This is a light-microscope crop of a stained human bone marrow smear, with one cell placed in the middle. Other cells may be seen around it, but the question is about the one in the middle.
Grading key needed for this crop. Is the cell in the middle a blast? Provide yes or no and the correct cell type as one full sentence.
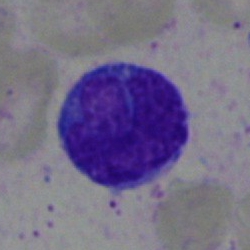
Yes, the cell lying in the centre of the crop is identified as a blast.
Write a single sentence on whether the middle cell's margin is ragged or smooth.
Smooth edges only, with no spikes, blebs, or other projections.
